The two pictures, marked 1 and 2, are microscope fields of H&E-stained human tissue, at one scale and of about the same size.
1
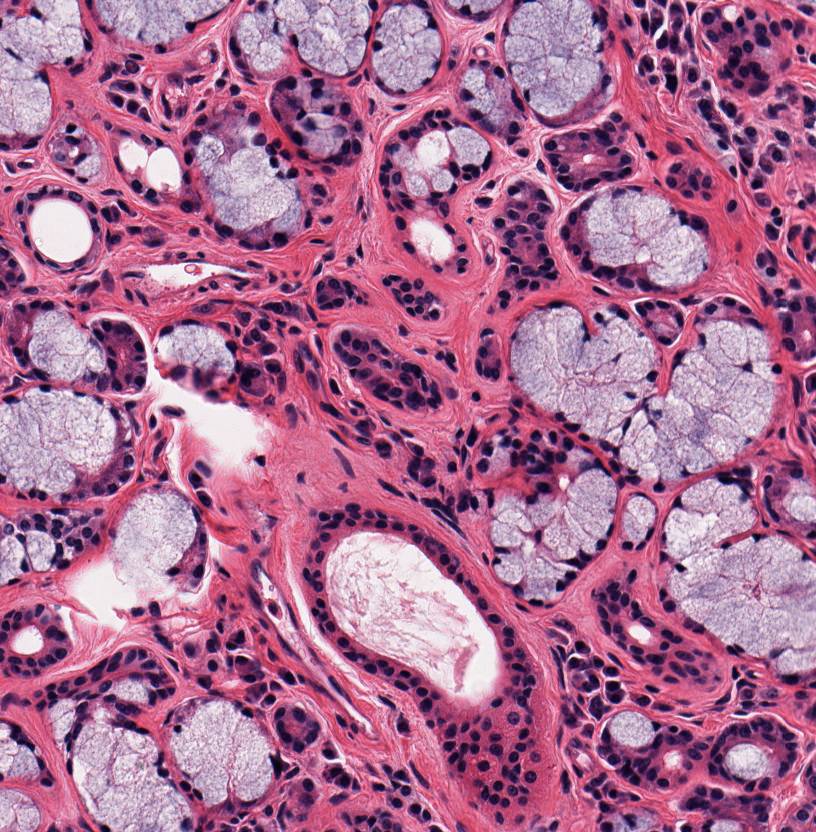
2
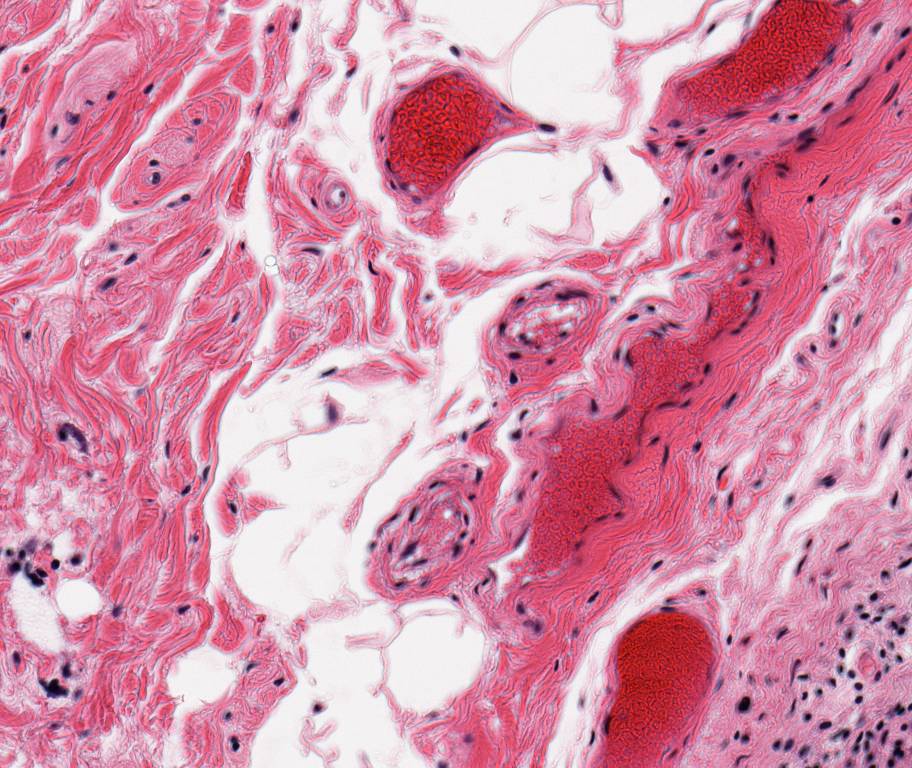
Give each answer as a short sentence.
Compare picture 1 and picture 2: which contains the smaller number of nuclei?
There are fewer nuclei in picture 2.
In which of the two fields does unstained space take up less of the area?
Unstained space takes up less of picture 1 than of picture 2.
